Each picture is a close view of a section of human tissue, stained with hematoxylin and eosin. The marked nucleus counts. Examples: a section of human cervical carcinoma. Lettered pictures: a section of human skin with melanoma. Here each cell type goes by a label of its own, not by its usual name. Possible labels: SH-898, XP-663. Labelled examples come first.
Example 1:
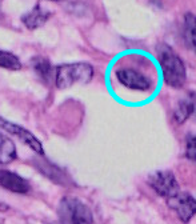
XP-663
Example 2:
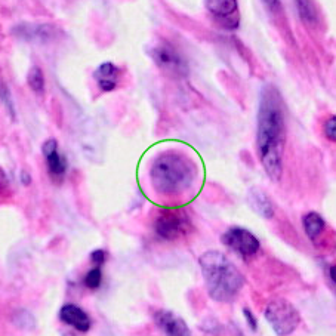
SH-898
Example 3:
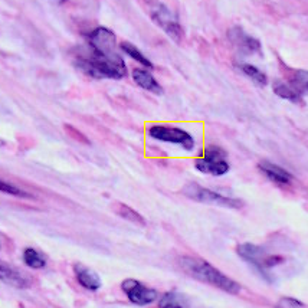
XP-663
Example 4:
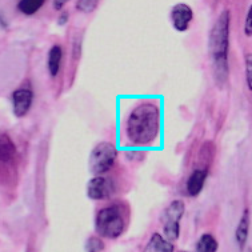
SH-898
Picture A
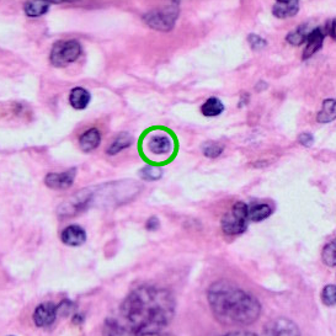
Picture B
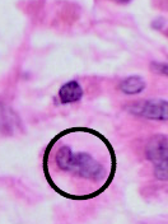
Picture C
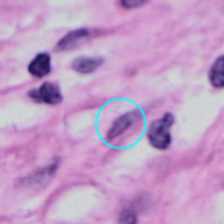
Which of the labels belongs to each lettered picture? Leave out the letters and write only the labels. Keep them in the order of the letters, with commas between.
XP-663, SH-898, SH-898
